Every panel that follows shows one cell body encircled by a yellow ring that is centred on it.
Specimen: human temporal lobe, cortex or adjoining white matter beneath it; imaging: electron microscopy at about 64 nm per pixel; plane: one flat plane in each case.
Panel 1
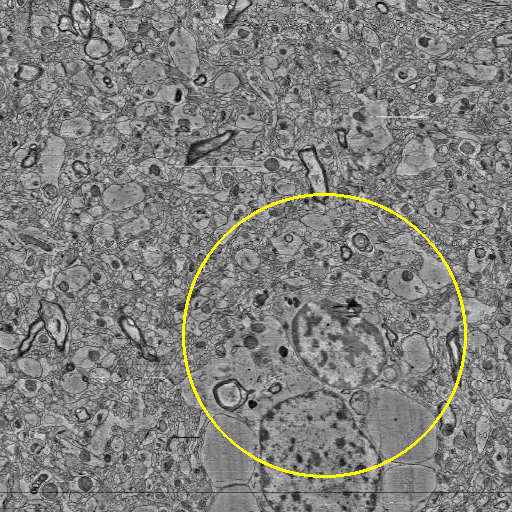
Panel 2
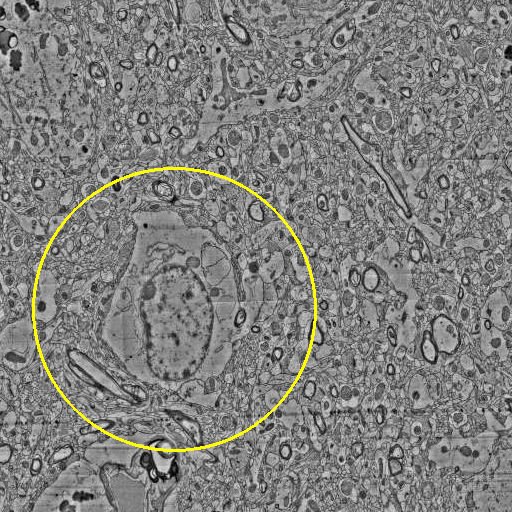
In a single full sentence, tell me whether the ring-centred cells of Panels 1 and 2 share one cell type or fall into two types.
In Panel 1 and Panel 2, the cells at the ring centres fall into two types.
